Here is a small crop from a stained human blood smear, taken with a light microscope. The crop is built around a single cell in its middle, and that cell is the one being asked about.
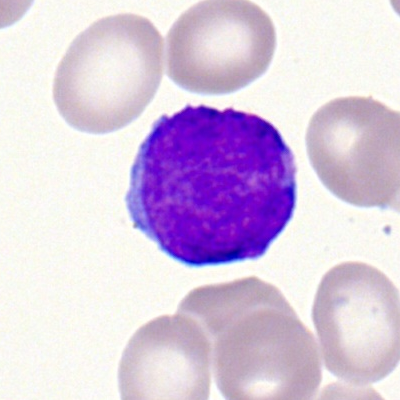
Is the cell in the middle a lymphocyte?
no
